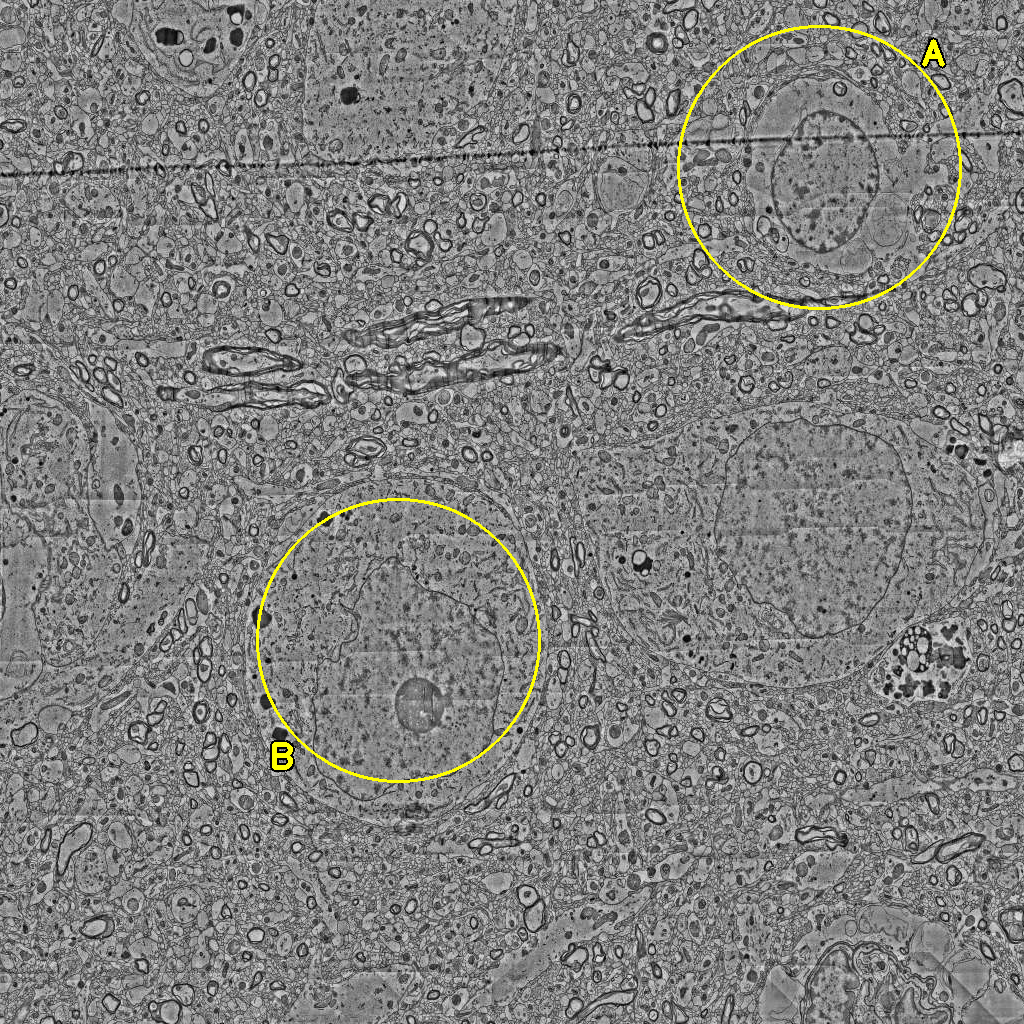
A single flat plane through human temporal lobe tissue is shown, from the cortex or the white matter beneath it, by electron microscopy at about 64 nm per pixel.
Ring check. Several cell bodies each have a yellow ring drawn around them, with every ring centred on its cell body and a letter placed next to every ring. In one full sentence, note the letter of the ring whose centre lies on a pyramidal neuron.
At the centre of ring B lies the cell asked for in this check.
